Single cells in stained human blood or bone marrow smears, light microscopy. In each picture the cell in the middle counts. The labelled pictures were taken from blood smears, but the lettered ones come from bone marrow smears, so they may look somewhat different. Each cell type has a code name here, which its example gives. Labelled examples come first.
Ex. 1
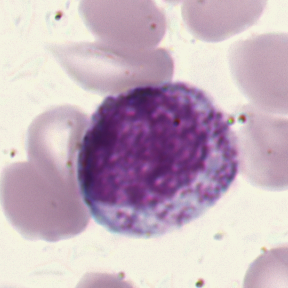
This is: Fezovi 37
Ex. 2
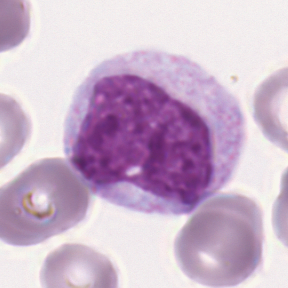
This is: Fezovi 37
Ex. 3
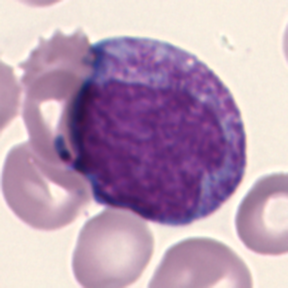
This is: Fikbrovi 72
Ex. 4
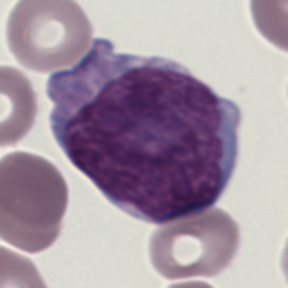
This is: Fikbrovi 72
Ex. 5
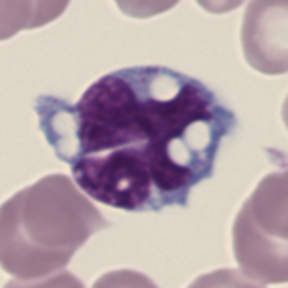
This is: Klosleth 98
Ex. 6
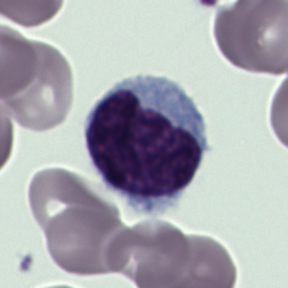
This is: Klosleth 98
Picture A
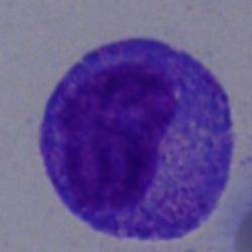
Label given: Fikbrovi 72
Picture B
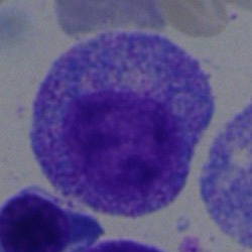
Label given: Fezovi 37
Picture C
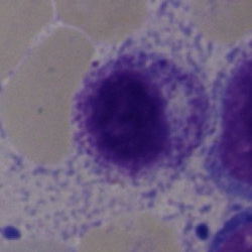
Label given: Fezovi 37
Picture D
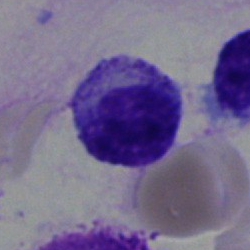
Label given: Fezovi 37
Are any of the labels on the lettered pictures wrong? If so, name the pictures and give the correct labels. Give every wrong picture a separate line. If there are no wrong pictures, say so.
All correct.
